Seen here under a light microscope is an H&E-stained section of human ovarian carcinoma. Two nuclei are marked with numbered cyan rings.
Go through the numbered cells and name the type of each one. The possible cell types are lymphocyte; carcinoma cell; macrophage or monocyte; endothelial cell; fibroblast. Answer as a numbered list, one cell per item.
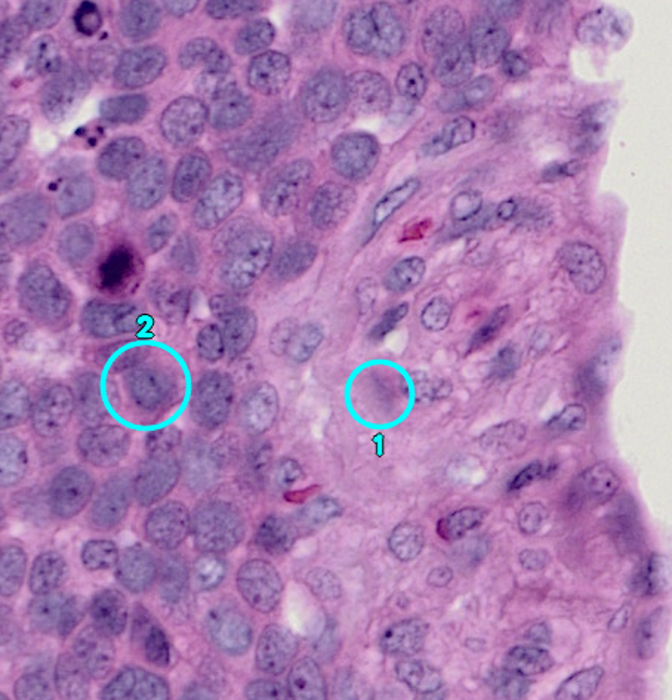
1. fibroblast
2. carcinoma cell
